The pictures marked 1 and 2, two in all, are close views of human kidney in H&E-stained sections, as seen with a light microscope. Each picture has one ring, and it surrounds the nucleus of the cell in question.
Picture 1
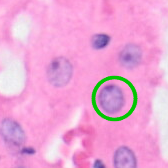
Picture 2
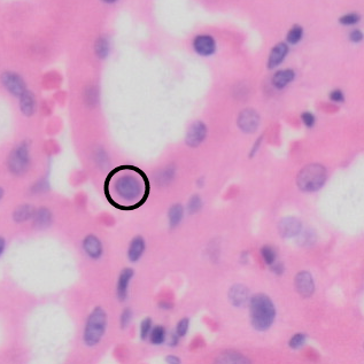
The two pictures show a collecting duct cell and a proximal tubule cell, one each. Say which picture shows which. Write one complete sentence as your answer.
Picture 1 is of a proximal tubule cell, and picture 2 is of a collecting duct cell.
